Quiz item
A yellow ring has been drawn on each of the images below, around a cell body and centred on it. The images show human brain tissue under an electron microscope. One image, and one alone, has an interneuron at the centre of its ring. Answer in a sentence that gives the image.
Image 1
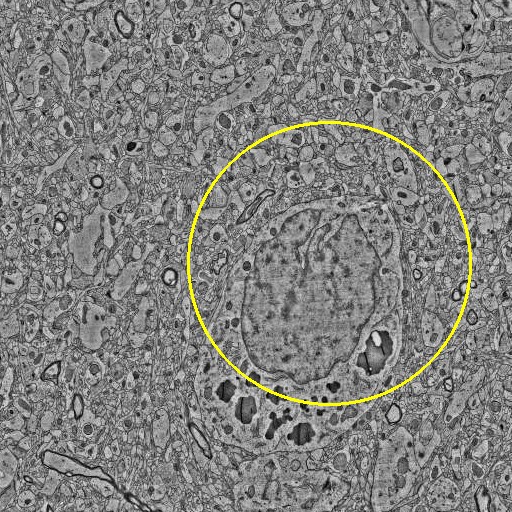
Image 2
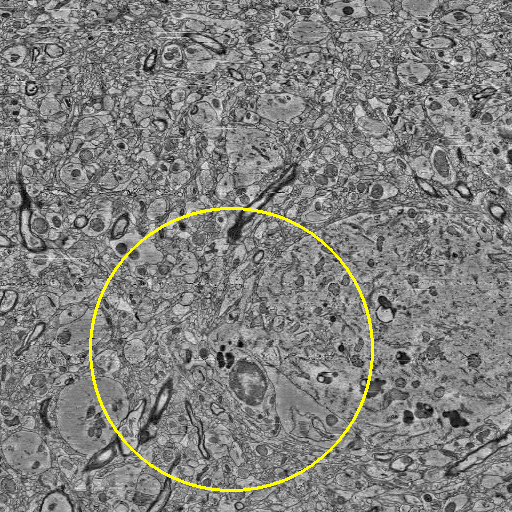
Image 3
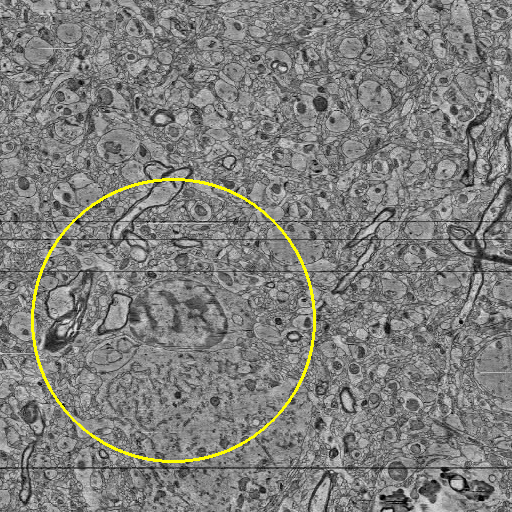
Image 1 shows it at the centre of the ring.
